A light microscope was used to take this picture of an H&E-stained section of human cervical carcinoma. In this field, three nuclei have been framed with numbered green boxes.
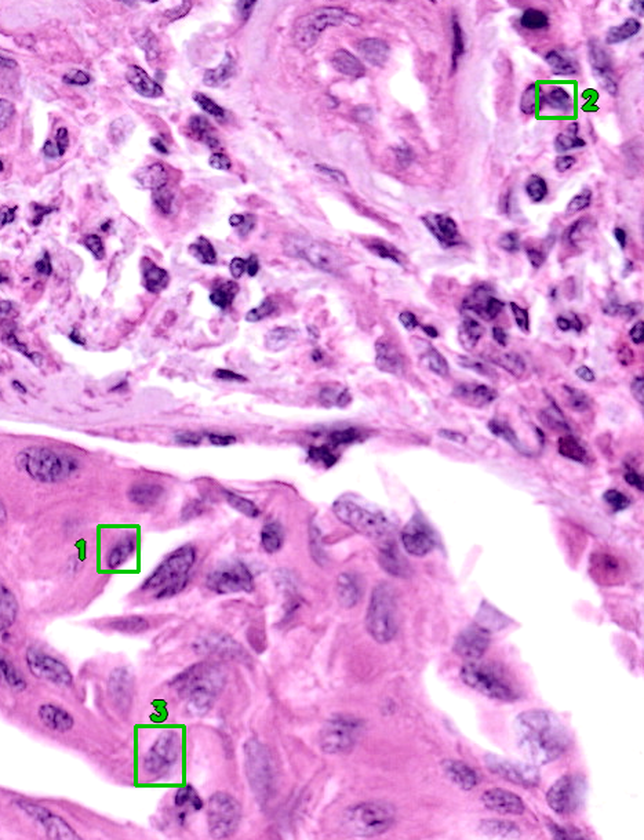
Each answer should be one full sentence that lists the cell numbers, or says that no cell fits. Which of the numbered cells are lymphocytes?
Cell 2 represents a lymphocyte, and no other numbered cell does.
